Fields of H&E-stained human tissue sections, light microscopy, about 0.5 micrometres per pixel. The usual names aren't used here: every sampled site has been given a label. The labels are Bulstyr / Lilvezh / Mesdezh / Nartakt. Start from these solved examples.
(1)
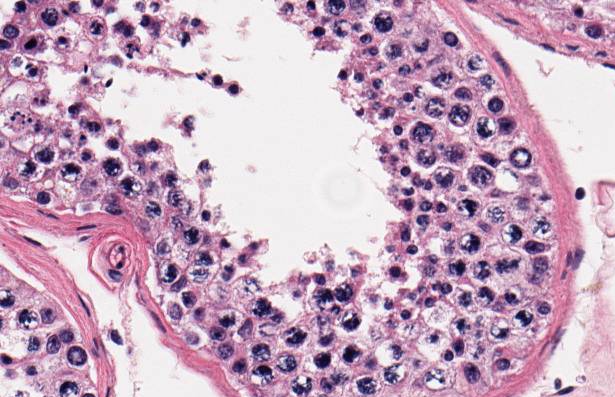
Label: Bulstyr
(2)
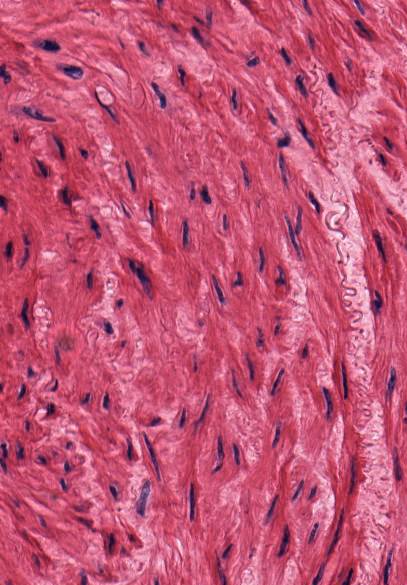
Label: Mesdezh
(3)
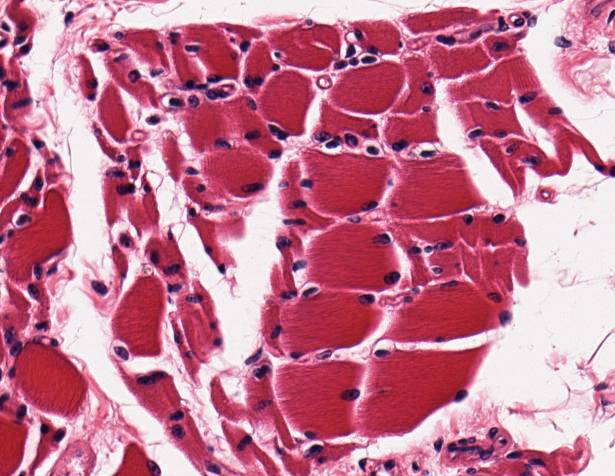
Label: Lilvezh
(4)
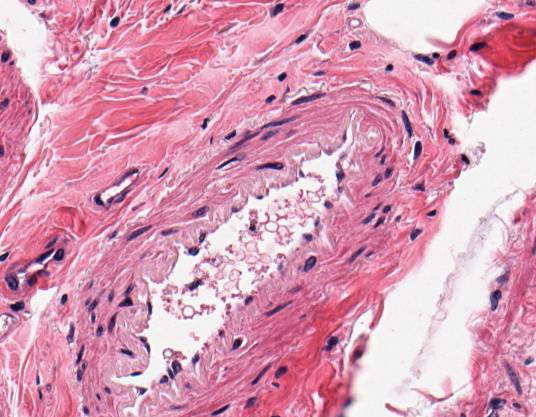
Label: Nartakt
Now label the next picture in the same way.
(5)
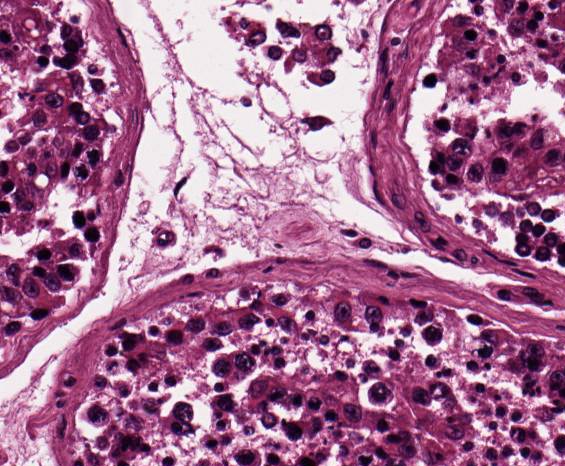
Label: Bulstyr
